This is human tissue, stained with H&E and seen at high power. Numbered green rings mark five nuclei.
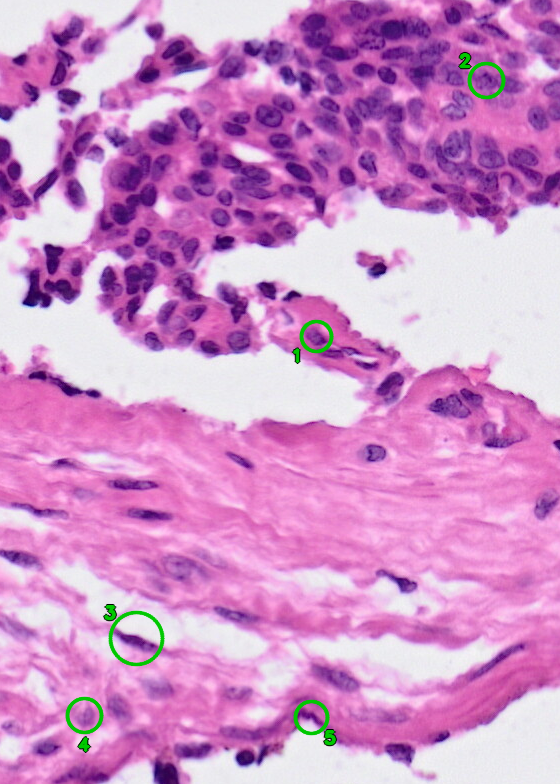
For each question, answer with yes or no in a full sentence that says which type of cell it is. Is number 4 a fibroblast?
Yes, the cell that bears number 4 is a fibroblast.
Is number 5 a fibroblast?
Yes, the marked cell with number 5 is a fibroblast.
